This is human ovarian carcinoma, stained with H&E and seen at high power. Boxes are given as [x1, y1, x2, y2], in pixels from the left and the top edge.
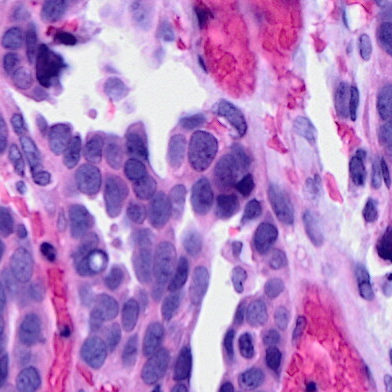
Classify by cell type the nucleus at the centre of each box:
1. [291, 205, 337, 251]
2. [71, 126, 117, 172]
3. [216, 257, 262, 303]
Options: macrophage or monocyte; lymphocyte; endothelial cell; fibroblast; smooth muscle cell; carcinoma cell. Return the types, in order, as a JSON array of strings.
["fibroblast", "carcinoma cell", "macrophage or monocyte"]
